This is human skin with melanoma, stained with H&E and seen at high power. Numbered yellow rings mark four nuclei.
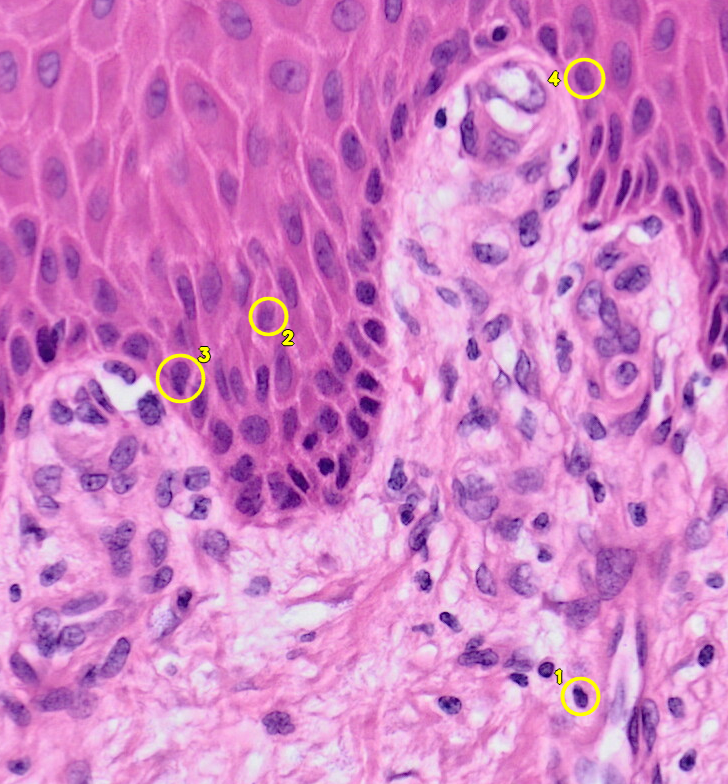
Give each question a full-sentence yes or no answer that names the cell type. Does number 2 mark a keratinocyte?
Yes, the cell that is numbered 2 is a keratinocyte.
